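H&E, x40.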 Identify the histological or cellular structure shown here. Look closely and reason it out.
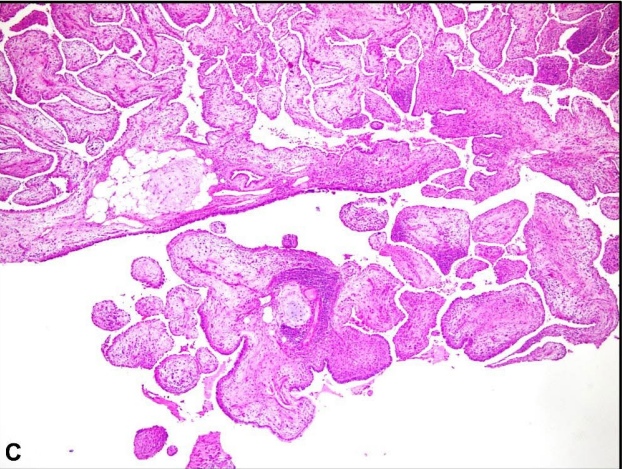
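Numerous branching finger-like fronds separated by clear spaces. Fronds have stromal cores lined by epithelium.
Answer: Villus-like projections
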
